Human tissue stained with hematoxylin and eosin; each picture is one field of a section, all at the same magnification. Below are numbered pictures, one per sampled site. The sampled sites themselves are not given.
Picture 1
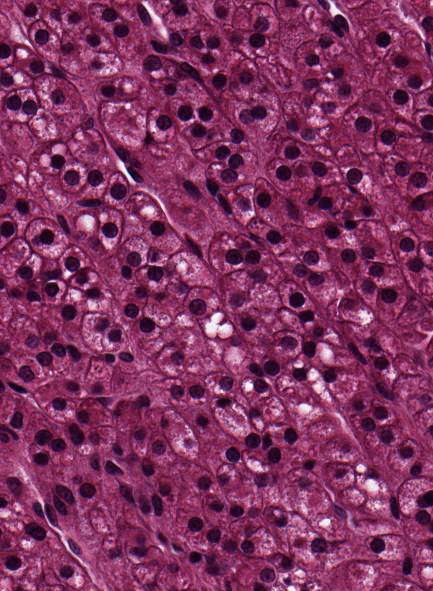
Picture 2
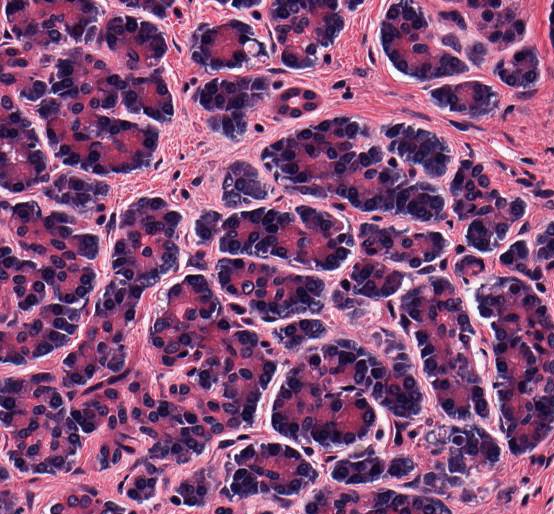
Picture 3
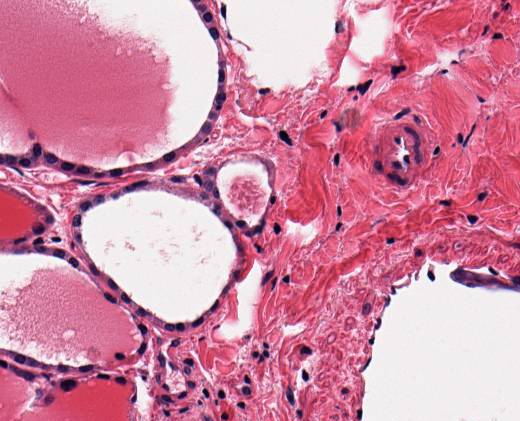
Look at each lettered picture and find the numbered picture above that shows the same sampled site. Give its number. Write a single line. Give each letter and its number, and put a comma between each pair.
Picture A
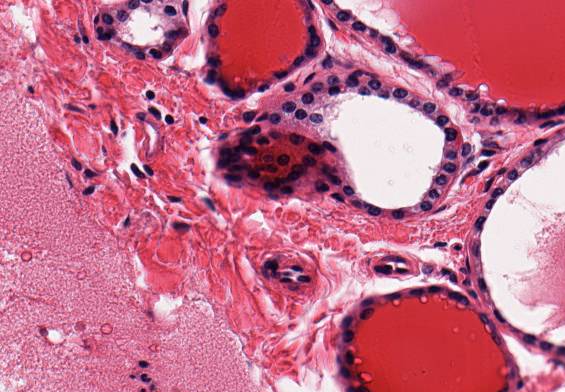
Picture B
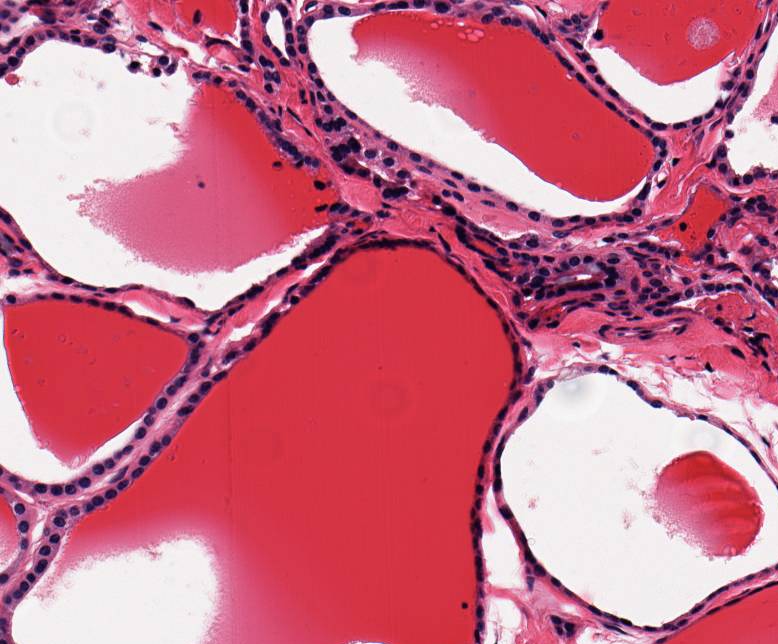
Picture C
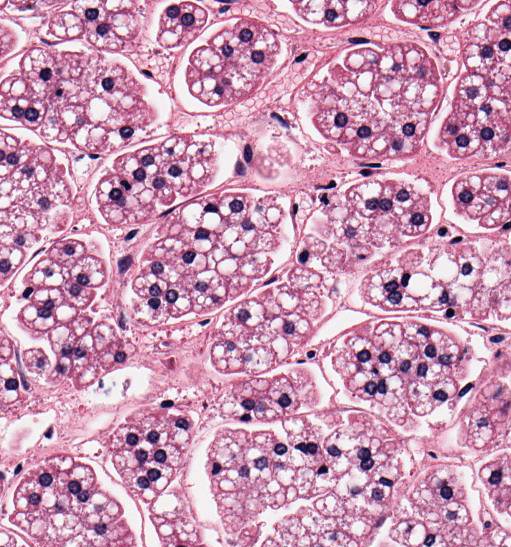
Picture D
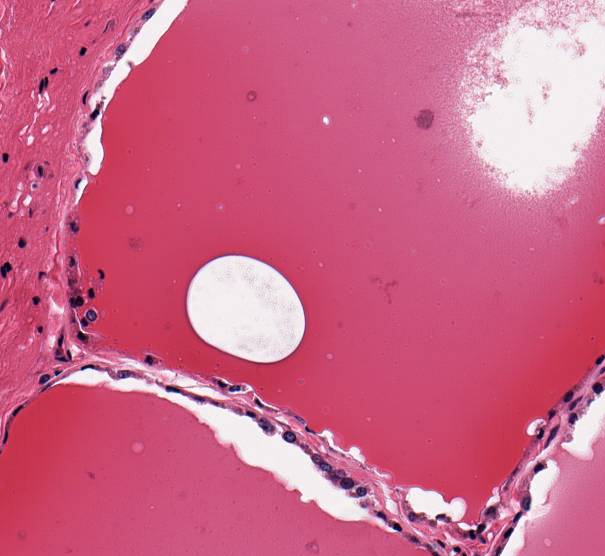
A 3, B 3, C 1, D 3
